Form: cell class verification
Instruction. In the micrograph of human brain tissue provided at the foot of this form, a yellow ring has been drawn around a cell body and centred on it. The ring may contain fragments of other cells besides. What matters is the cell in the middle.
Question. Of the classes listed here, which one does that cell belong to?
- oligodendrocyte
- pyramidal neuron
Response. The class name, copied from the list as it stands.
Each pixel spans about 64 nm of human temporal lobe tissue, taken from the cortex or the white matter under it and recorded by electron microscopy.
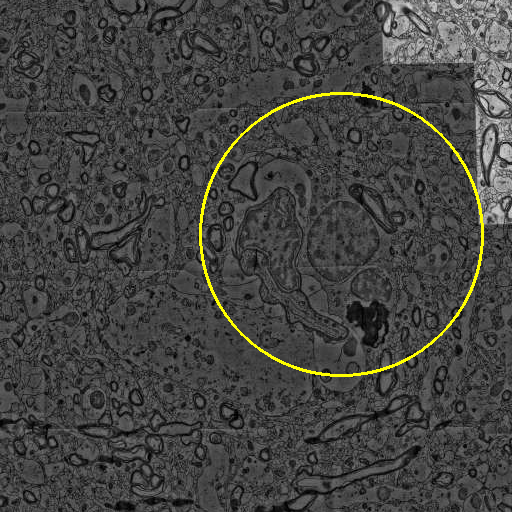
oligodendrocyte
